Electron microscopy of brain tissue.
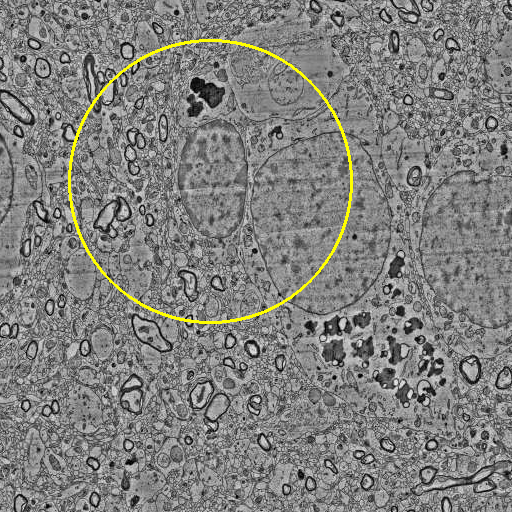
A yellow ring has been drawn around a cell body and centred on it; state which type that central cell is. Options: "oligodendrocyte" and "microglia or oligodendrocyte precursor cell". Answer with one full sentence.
The cell at the middle of the yellow ring is an oligodendrocyte in this picture.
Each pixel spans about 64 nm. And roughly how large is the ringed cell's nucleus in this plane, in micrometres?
Roughly 7 micrometres by 4 micrometres, so the nucleus is clearly longer than it is wide in this plane.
